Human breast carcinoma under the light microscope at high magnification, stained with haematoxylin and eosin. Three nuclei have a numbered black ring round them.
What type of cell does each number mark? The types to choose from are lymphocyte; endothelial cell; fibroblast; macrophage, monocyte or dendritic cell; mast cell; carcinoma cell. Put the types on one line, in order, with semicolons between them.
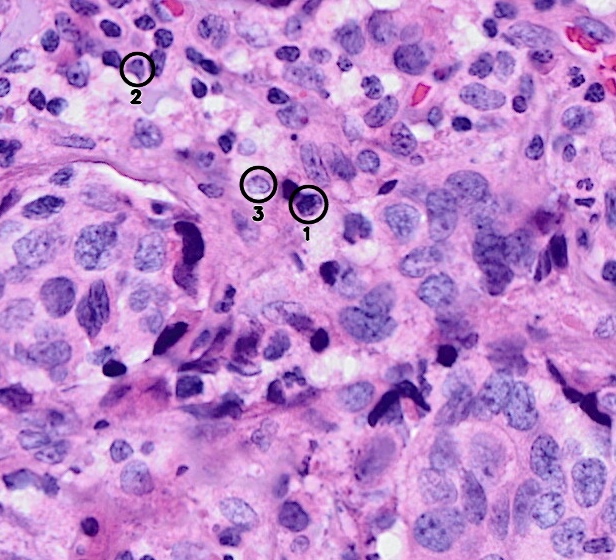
lymphocyte; lymphocyte; macrophage, monocyte or dendritic cell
